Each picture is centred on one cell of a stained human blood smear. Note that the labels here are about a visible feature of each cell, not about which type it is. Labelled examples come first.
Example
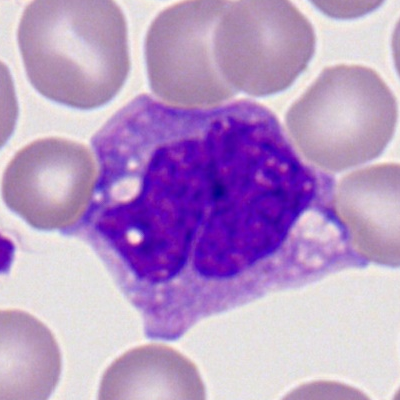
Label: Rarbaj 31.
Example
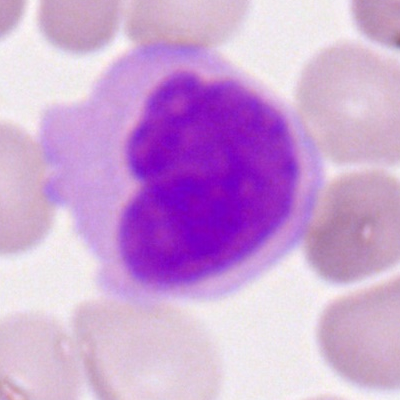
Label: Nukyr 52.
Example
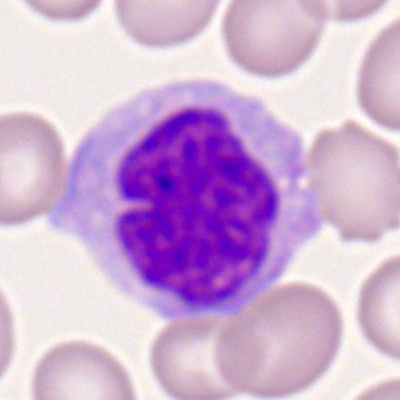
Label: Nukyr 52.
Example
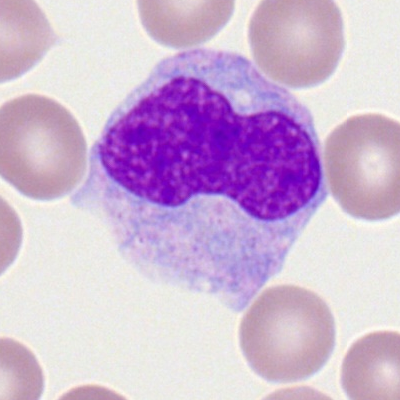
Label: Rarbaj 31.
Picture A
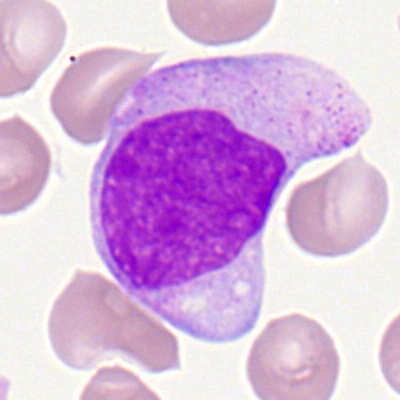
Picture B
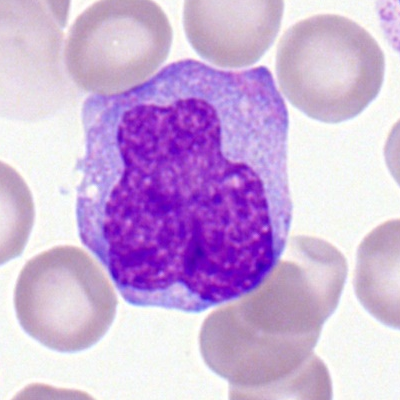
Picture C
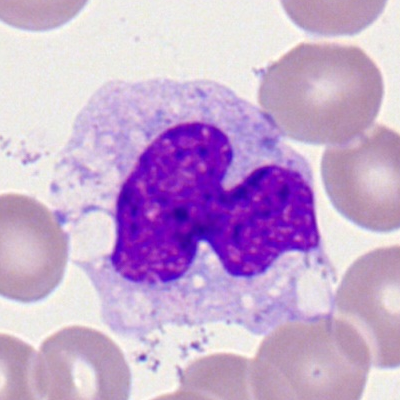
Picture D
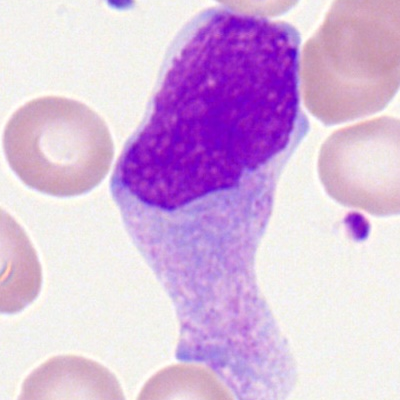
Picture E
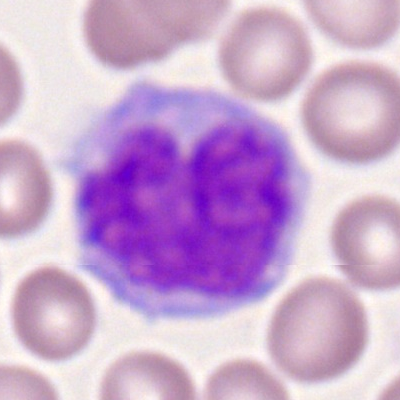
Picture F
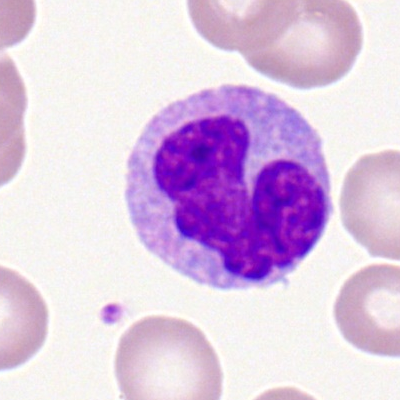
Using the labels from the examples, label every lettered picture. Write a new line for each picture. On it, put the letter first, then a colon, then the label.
A: Rarbaj 31.
B: Rarbaj 31.
C: Rarbaj 31.
D: Rarbaj 31.
E: Nukyr 52.
F: Rarbaj 31.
